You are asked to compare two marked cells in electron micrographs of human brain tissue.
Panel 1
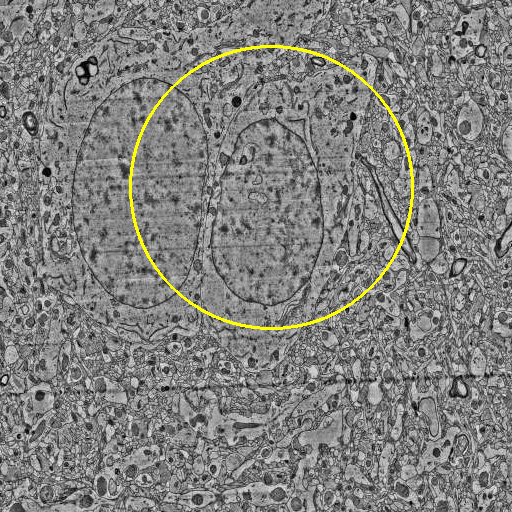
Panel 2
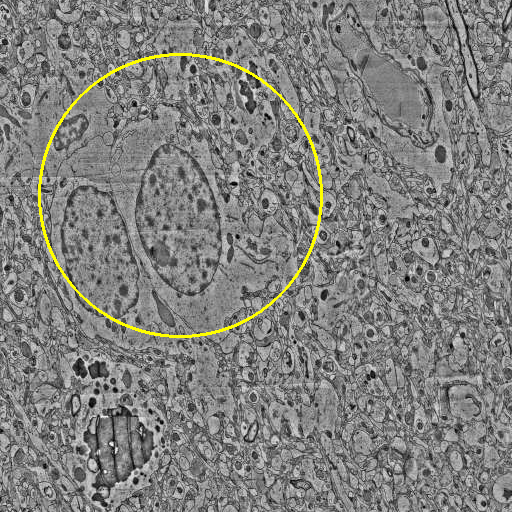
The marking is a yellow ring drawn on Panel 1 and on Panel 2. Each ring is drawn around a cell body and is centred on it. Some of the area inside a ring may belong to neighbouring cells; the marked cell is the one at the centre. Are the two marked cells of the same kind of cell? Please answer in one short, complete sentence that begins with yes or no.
No, the two marked cells are of two kinds.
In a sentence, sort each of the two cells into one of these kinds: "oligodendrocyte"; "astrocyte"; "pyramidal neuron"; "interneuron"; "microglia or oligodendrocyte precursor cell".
The first of the two cells is a pyramidal neuron, and the second is an astrocyte.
